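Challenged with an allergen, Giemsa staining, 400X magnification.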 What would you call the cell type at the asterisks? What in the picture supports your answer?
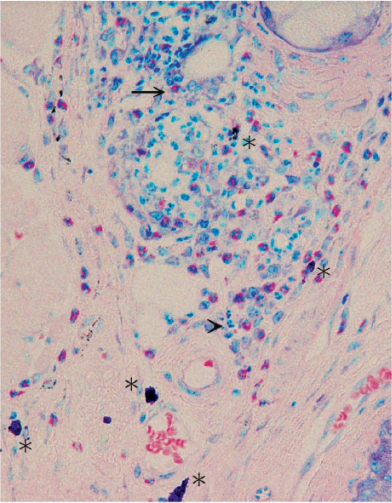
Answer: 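Mast cells. The cells beside the asterisks are stained very dark purple to nearly black. They lie scattered in the connective tissue, mostly outside the dense cell cluster. They are larger and more densely stained than the surrounding small cells.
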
